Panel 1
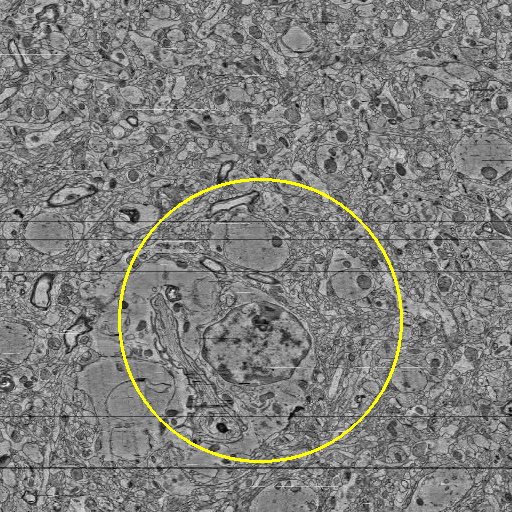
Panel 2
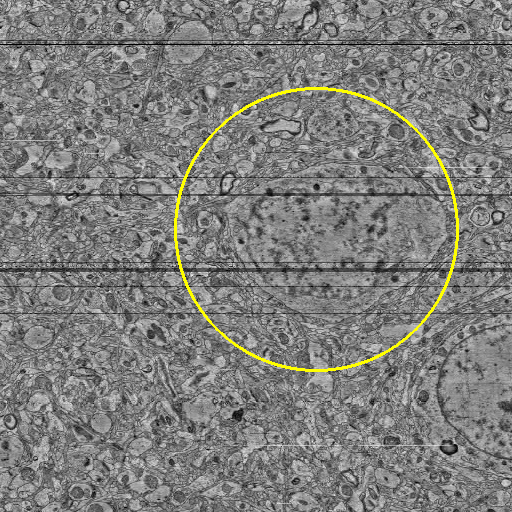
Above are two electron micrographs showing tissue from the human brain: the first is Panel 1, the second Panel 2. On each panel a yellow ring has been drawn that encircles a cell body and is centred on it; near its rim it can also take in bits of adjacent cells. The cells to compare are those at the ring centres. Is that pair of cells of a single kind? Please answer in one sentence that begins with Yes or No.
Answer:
No, the ring-centred cells of Panel 1 and Panel 2 belong to two kinds.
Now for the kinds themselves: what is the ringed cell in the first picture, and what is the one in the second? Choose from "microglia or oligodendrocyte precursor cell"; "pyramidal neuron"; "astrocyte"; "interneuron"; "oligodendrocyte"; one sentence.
Here the first cell is a microglial cell or oligodendrocyte precursor cell and the second cell is an interneuron.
